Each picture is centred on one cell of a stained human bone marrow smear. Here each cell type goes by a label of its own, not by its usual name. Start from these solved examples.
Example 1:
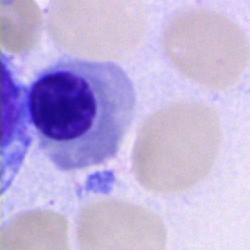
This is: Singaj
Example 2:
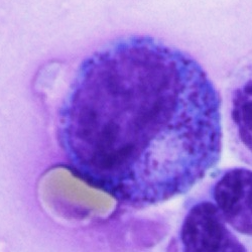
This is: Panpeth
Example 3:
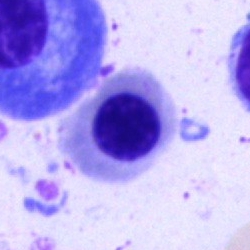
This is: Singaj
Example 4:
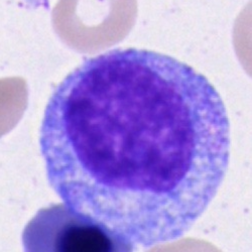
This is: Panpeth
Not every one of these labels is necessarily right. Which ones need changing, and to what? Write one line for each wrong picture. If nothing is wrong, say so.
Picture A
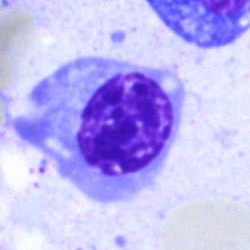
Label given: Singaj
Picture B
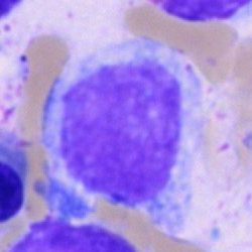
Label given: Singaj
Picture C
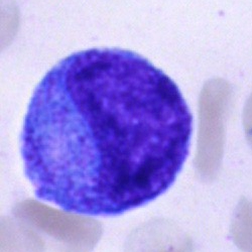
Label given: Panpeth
B: Panpeth, not Singaj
